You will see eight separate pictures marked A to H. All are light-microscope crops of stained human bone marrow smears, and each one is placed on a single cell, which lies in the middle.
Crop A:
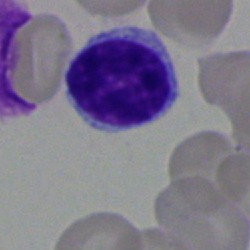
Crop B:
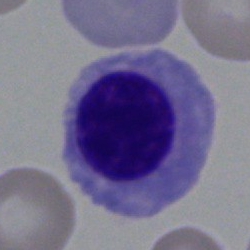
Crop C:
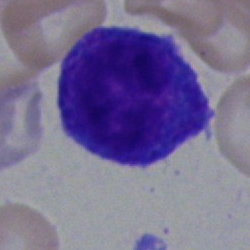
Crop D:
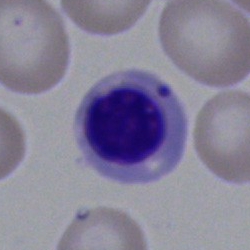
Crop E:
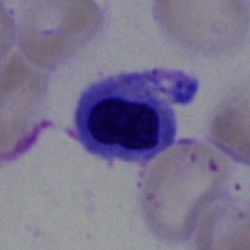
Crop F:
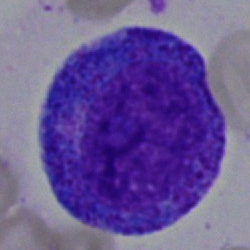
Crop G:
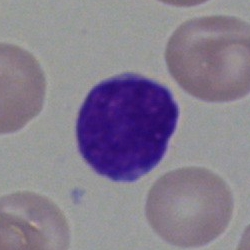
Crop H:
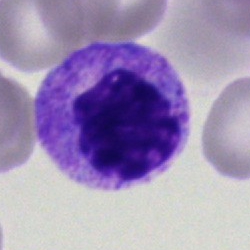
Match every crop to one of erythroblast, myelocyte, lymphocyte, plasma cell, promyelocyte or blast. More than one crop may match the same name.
A: lymphocyte
B: erythroblast
C: promyelocyte
D: erythroblast
E: erythroblast
F: promyelocyte
G: lymphocyte
H: myelocyte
